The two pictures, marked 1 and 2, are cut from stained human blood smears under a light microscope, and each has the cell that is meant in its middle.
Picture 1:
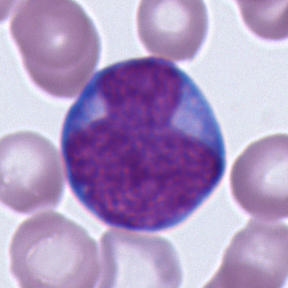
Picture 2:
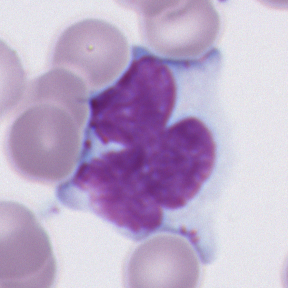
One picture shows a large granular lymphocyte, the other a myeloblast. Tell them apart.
1: myeloblast
2: large granular lymphocyte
